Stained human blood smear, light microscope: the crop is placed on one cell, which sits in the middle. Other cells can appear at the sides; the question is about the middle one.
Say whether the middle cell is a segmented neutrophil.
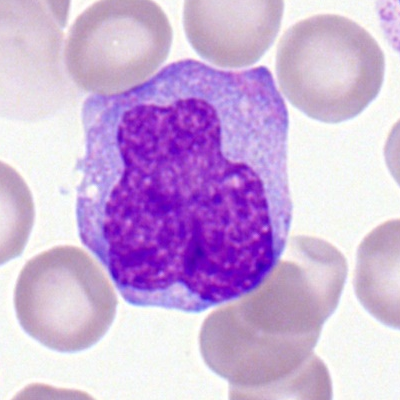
no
